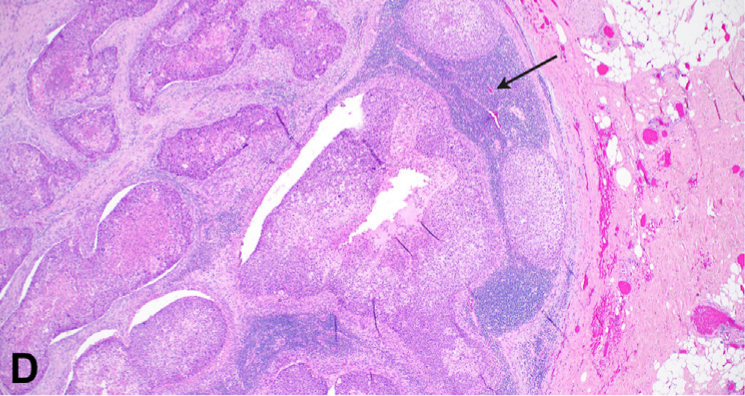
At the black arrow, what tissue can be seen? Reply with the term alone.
Uninvolved lymph node tissue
